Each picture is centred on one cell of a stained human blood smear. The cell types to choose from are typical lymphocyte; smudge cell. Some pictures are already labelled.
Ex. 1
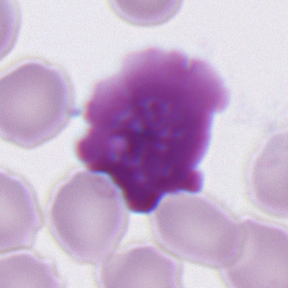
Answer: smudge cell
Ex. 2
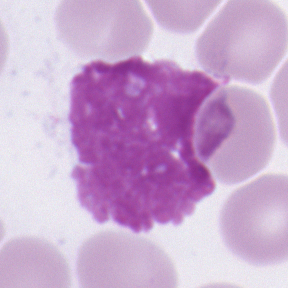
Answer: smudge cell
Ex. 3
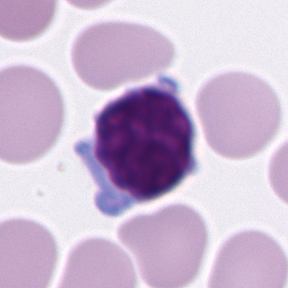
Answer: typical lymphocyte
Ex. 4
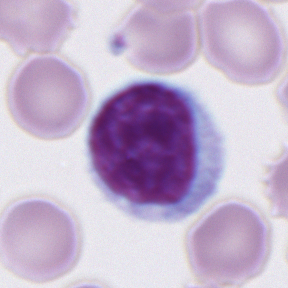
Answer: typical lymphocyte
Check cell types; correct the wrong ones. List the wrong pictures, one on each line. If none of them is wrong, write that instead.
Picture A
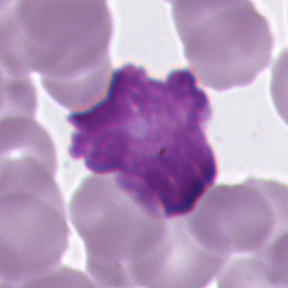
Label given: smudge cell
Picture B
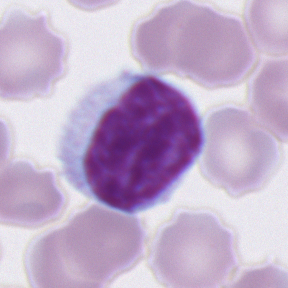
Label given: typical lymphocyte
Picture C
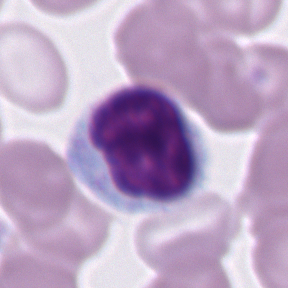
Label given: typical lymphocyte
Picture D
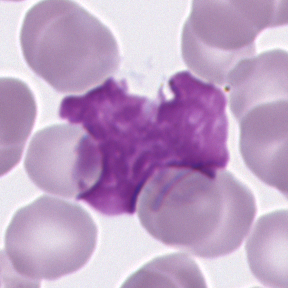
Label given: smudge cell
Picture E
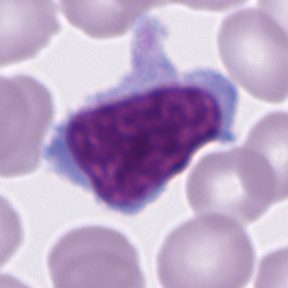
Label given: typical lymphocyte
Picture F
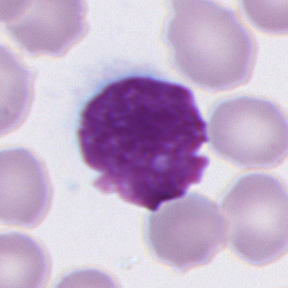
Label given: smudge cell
Nothing to fix; every label fits.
